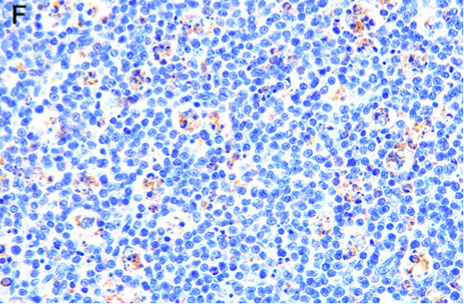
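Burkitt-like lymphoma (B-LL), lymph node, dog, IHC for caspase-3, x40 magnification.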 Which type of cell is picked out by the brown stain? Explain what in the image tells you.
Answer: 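Scattered large pale cells contain brown granular fragments. These pale cells lie among densely packed blue-stained round cells, giving a spotted pattern. On this evidence: Tingible body macrophages.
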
